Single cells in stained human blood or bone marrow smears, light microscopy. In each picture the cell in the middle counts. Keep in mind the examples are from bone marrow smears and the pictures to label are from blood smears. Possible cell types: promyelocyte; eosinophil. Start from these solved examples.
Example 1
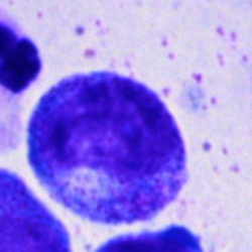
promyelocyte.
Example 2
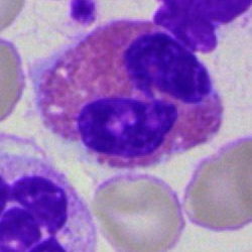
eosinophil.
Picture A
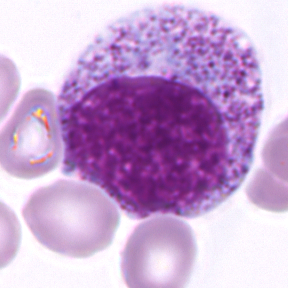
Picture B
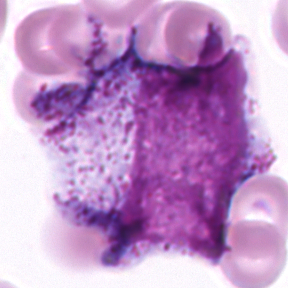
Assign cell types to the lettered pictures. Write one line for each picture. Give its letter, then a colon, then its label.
A: promyelocyte.
B: promyelocyte.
